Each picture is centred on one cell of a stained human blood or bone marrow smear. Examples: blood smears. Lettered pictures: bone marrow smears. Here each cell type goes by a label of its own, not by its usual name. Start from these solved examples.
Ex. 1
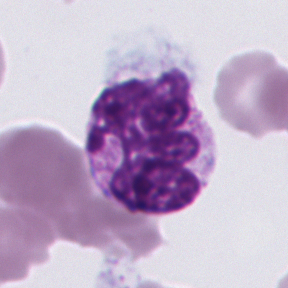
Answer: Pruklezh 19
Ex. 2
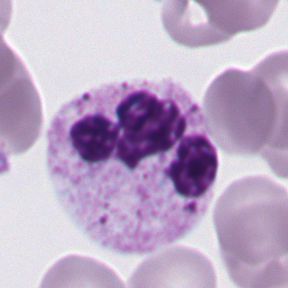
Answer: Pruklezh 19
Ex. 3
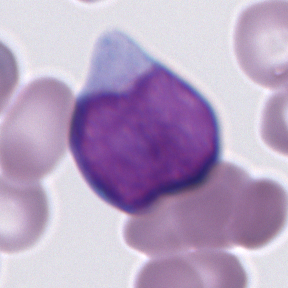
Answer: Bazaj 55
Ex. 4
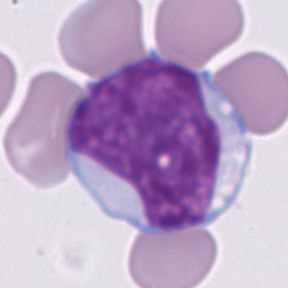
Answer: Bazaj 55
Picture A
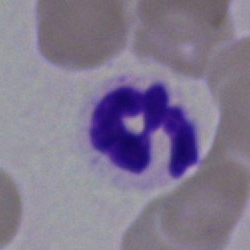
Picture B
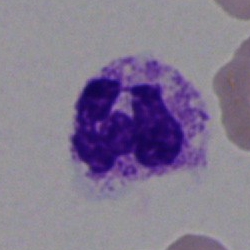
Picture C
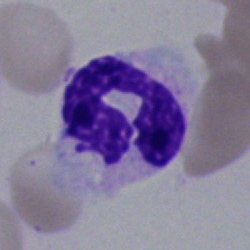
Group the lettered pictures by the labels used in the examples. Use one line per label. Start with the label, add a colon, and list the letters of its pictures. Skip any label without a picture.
Pruklezh 19: A, B, C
